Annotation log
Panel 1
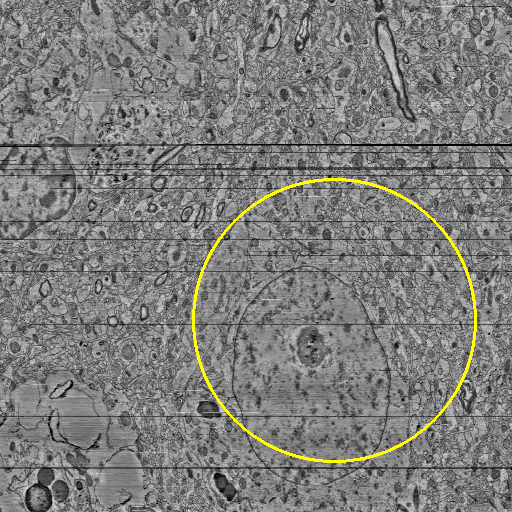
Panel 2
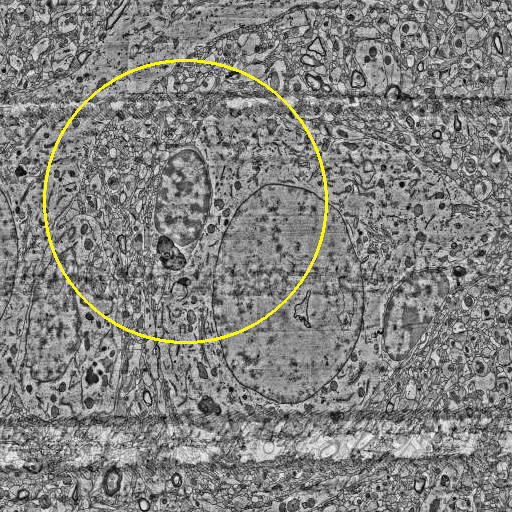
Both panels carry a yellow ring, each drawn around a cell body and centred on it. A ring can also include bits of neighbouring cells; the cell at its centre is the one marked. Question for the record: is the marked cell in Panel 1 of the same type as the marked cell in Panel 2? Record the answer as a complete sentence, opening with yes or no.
No, the marked cells in Panel 1 and Panel 2 are of two types.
